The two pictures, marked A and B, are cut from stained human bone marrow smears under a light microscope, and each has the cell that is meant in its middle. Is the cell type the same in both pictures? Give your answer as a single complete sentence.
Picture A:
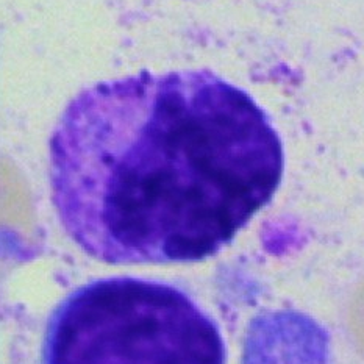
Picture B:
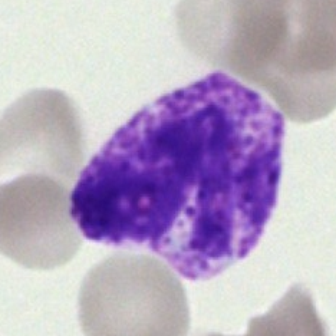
Yes; the cells in both pictures are basophils.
